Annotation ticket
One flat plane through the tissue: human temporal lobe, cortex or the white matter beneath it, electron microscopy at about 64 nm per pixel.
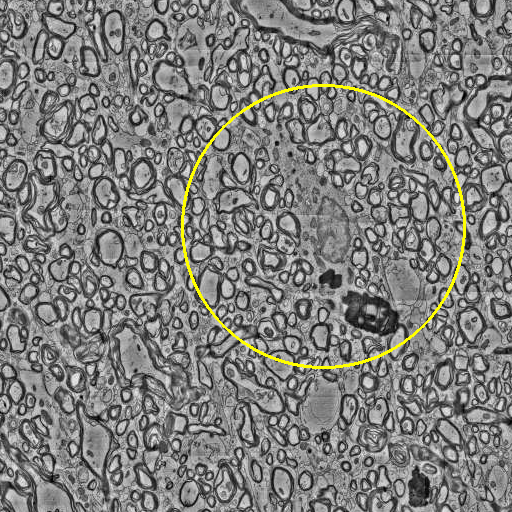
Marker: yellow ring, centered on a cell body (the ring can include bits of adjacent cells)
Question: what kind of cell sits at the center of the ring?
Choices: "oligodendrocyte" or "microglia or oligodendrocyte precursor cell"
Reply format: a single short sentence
The ring is centered on an oligodendrocyte.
